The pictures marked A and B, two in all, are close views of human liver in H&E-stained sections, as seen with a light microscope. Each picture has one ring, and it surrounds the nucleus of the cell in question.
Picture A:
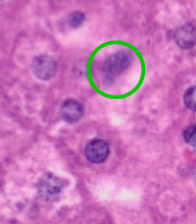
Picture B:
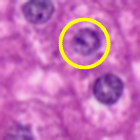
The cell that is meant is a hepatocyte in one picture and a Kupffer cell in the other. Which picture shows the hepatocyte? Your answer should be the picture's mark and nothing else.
B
